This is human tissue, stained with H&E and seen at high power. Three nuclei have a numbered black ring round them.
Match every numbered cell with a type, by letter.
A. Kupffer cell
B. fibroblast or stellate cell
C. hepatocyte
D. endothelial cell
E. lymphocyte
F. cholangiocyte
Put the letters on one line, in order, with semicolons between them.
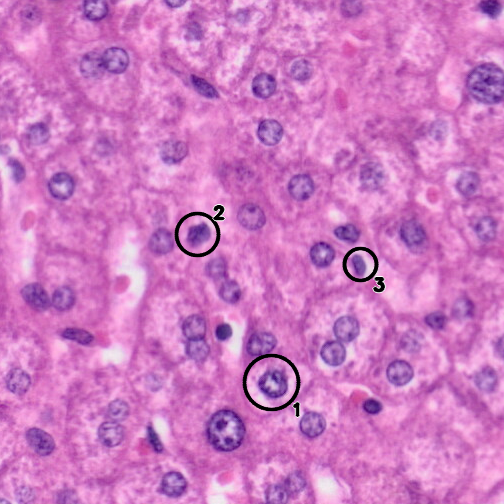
C; D; E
